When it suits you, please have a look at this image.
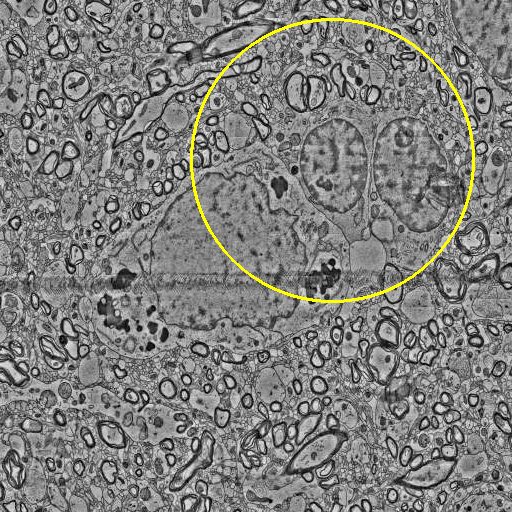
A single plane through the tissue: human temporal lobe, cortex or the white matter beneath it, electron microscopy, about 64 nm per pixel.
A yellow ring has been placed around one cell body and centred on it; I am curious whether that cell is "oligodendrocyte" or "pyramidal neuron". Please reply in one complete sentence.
The ringed cell, an oligodendrocyte, has its body at the centre of the yellow ring.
